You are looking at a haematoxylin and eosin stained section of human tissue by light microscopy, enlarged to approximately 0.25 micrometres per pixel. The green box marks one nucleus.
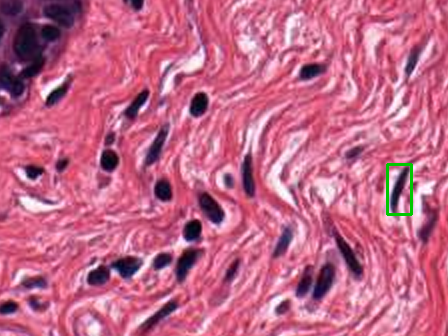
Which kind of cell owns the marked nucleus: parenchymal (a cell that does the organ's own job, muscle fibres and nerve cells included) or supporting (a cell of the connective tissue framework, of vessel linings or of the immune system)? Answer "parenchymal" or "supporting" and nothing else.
supporting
